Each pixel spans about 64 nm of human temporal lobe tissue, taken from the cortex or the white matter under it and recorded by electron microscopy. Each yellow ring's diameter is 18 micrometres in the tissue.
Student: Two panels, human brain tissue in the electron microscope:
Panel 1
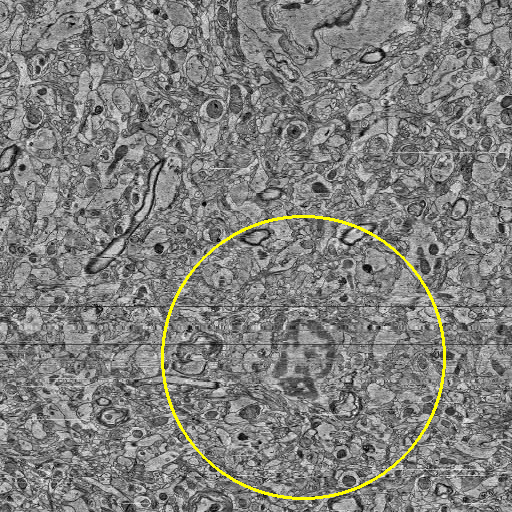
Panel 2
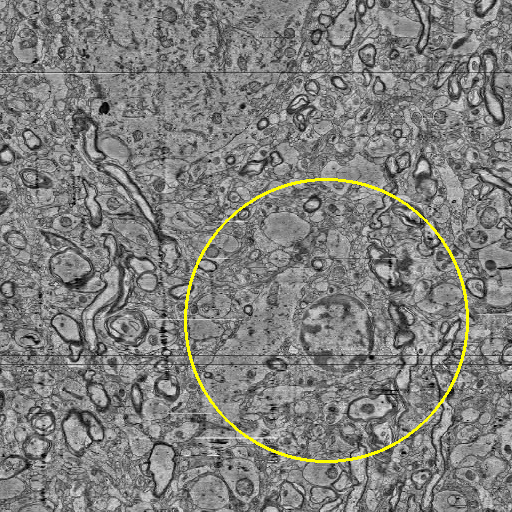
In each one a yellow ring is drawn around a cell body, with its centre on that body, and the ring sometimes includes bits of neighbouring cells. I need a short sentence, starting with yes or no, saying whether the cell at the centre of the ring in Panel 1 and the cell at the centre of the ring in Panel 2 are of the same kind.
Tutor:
Yes, they are the same kind of cell.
